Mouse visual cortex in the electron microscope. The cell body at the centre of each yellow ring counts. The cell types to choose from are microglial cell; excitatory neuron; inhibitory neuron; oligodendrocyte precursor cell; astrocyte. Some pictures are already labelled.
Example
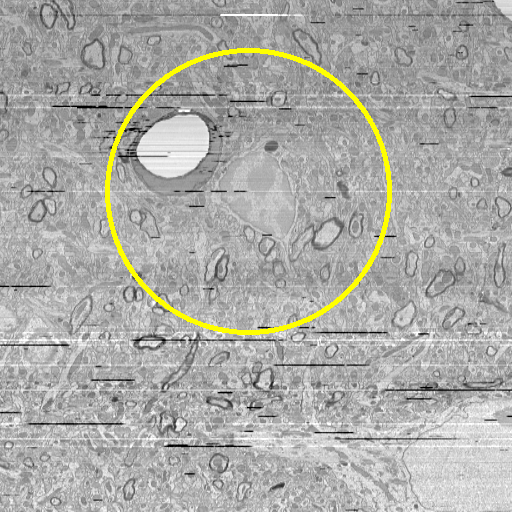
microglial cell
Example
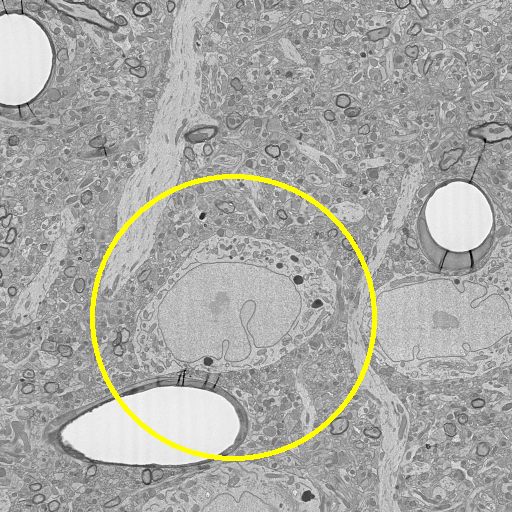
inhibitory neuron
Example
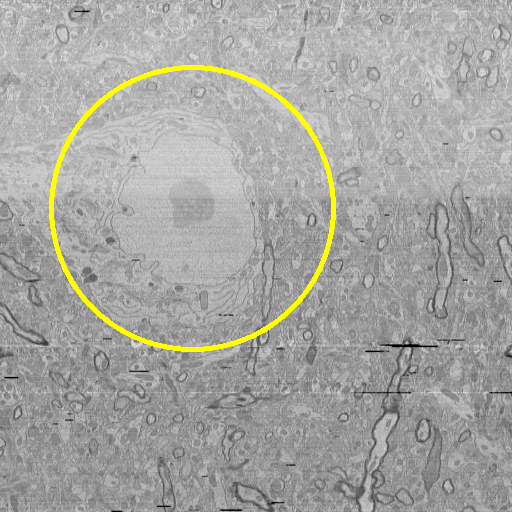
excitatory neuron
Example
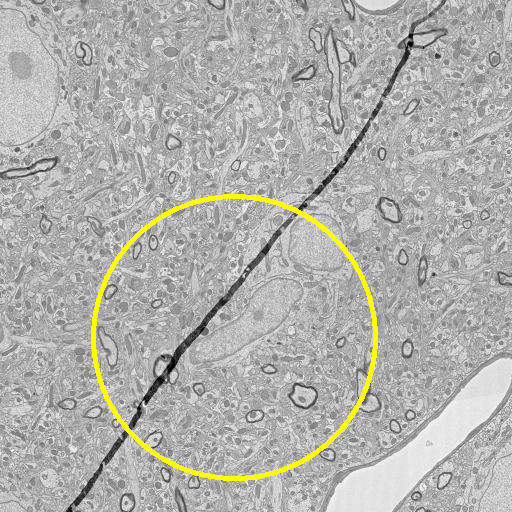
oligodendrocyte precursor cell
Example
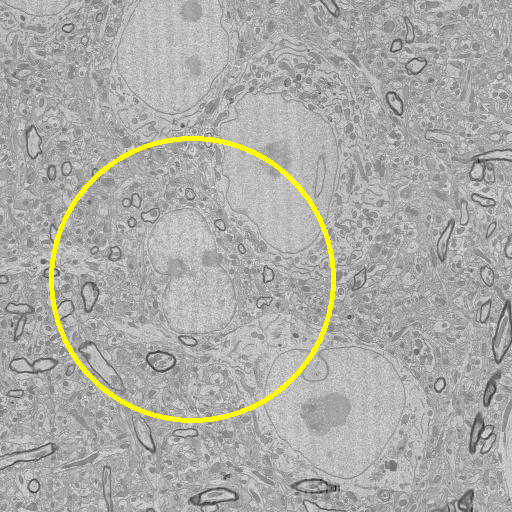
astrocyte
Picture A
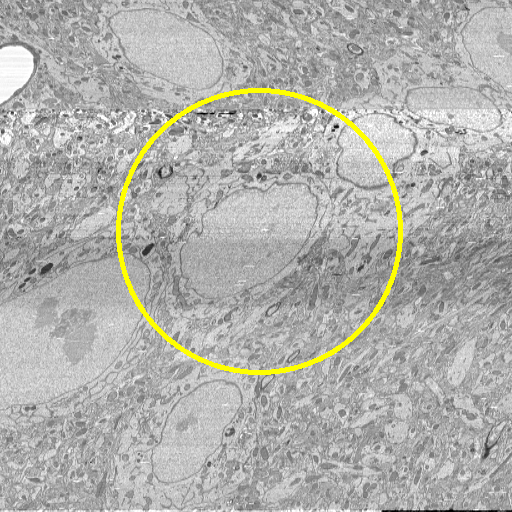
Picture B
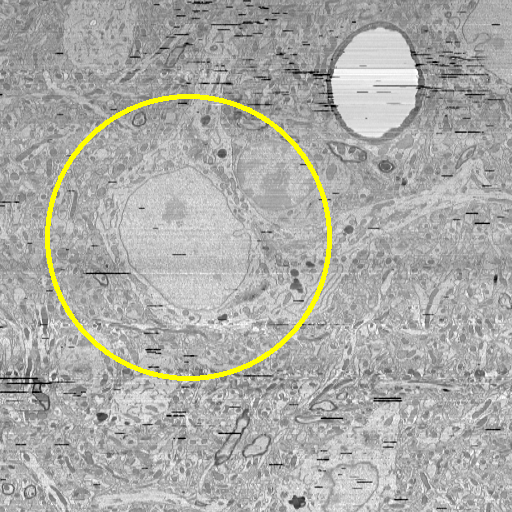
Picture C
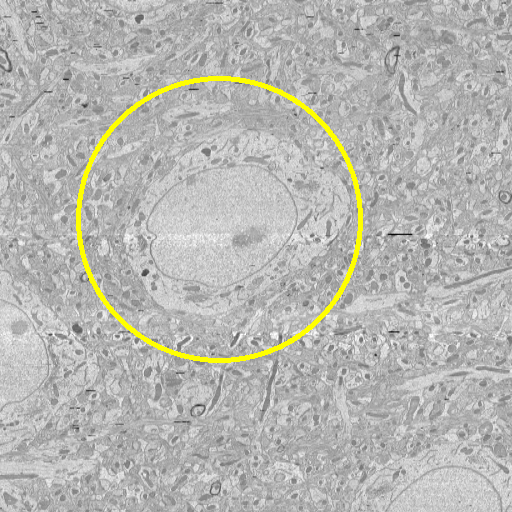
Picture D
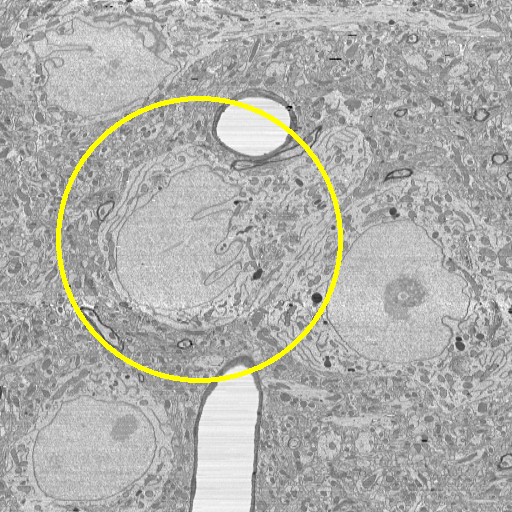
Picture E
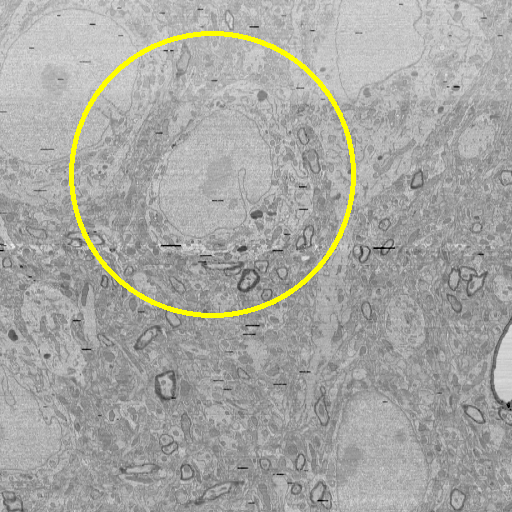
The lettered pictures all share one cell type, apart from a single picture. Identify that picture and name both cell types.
Picture C: excitatory neuron. All others: inhibitory neuron.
